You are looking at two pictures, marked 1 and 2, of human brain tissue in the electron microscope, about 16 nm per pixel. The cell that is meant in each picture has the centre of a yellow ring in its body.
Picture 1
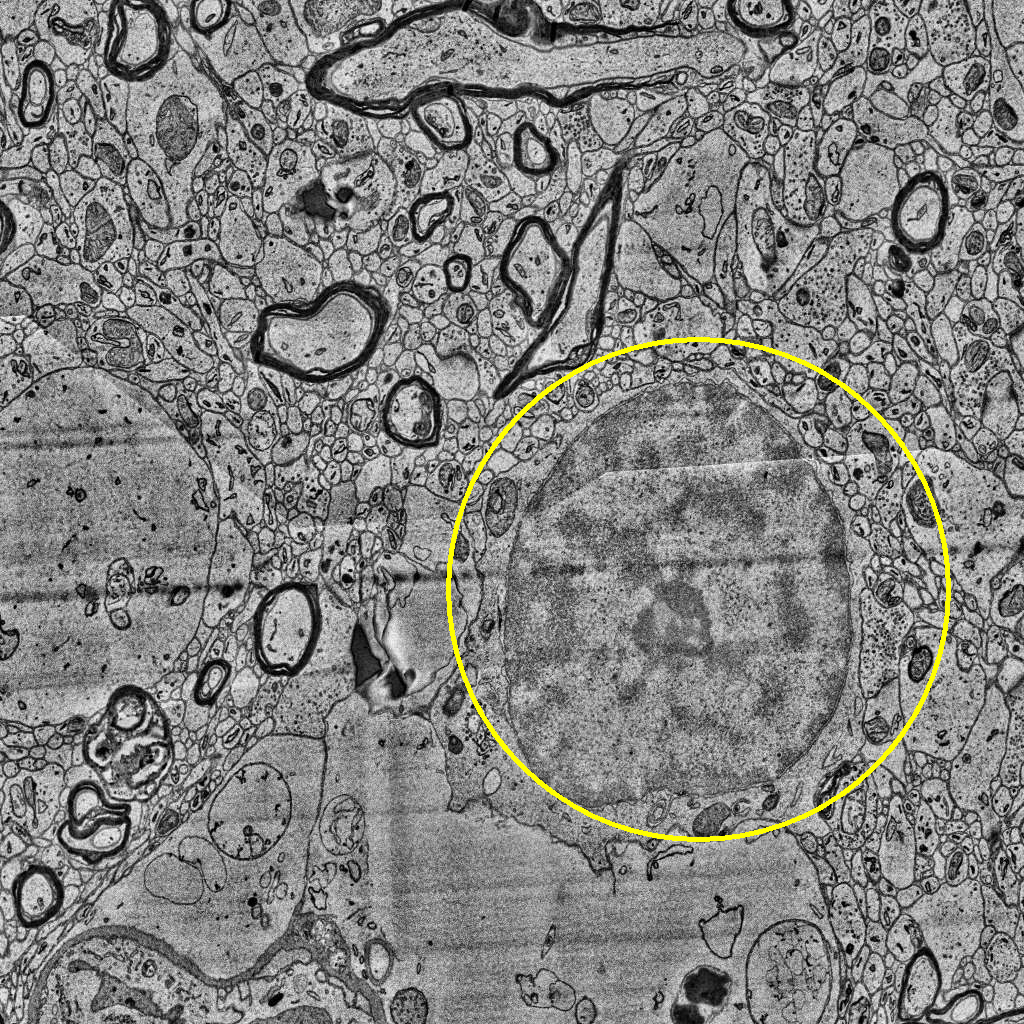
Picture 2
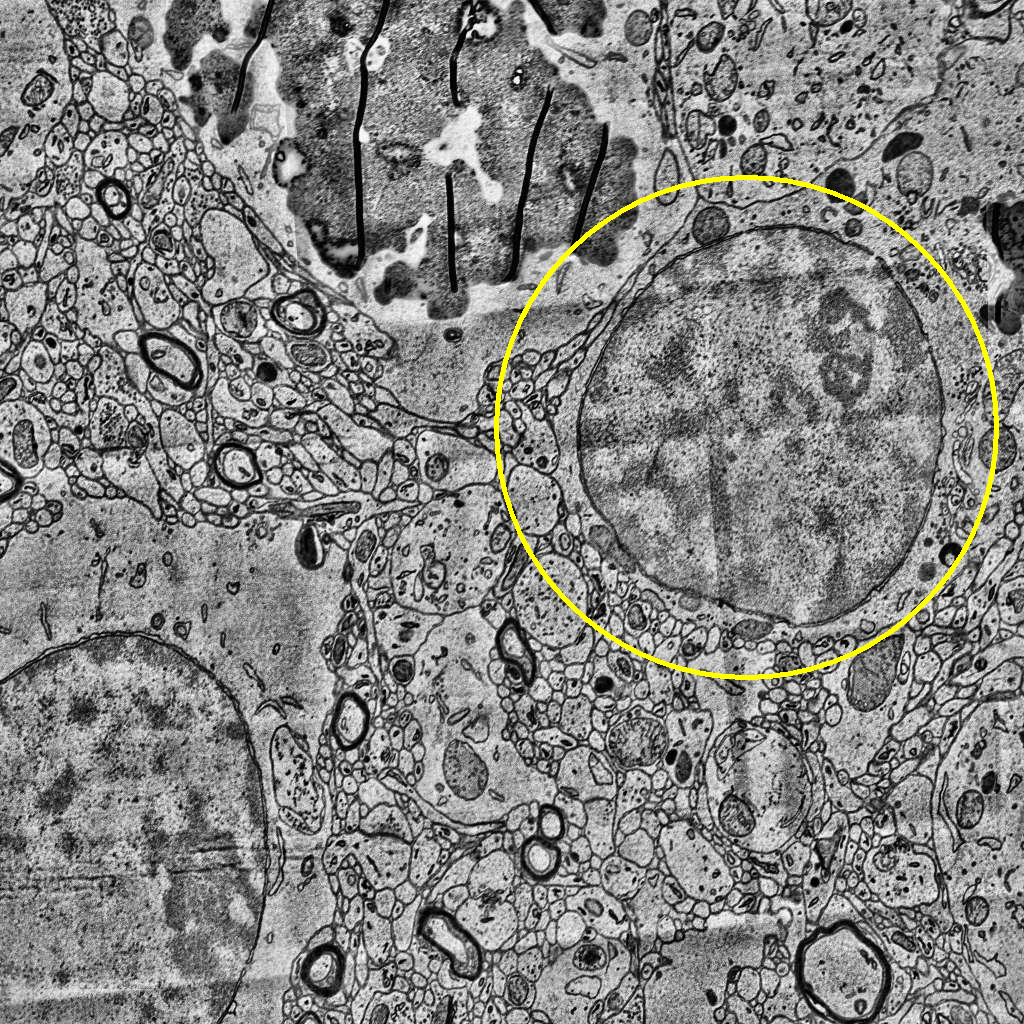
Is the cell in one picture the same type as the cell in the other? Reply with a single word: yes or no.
yes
